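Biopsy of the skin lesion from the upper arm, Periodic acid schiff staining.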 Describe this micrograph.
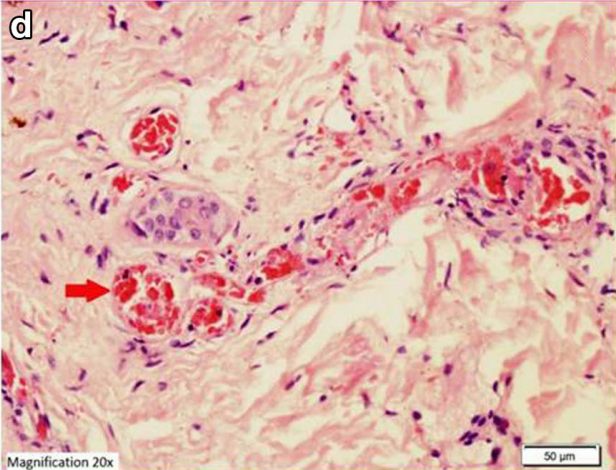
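This is dermis with several small blood vessels whose lumens are filled with bright red material. The vessels are lined and surrounded by small dark nuclei, and they lie in pale pink, loosely arranged collagen with scattered spindle-shaped nuclei. A small rounded cluster of cells with pale cytoplasm lies beside one of the vessels.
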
